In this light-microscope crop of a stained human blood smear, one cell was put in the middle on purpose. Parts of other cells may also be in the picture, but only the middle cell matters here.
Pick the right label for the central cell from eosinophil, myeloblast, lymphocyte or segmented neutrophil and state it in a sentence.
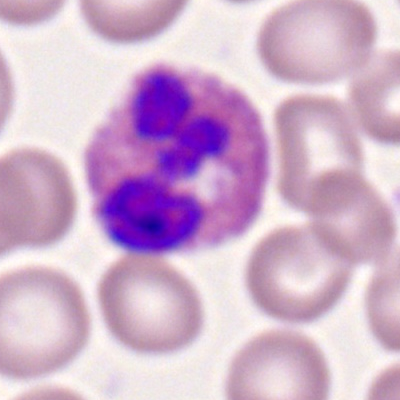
The central element of this crop is a cell, namely an eosinophil.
